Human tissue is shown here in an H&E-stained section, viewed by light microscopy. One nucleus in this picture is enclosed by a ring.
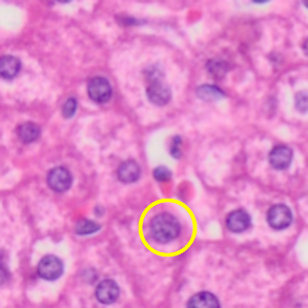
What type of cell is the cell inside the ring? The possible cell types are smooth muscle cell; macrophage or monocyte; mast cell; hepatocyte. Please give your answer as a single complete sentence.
Considered by cell type, the cell inside the ring is a hepatocyte.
